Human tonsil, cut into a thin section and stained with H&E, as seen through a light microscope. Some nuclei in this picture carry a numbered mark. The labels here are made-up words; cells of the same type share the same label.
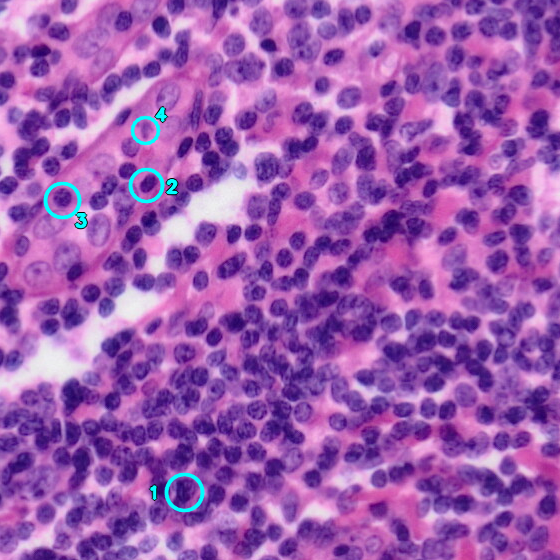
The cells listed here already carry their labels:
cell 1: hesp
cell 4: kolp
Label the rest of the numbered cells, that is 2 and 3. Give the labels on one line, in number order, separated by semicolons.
kolp; kolp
